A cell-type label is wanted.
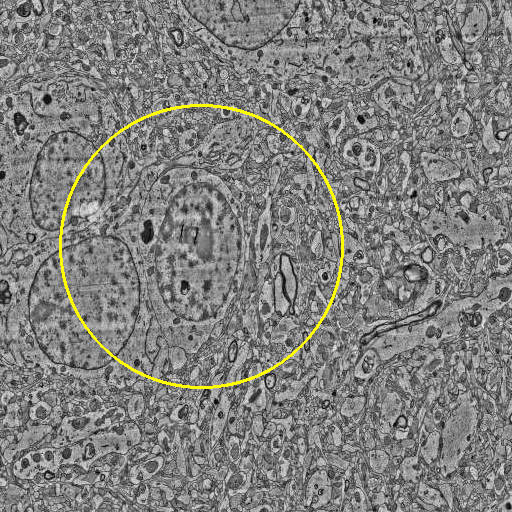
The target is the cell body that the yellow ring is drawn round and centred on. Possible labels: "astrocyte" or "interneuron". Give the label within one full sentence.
Of the labels offered, the cell in the middle of the yellow ring is an interneuron.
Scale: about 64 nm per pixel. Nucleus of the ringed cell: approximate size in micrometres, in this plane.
The nucleus measures about 9 by 5 micrometres, so it is clearly longer than it is wide in this plane.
